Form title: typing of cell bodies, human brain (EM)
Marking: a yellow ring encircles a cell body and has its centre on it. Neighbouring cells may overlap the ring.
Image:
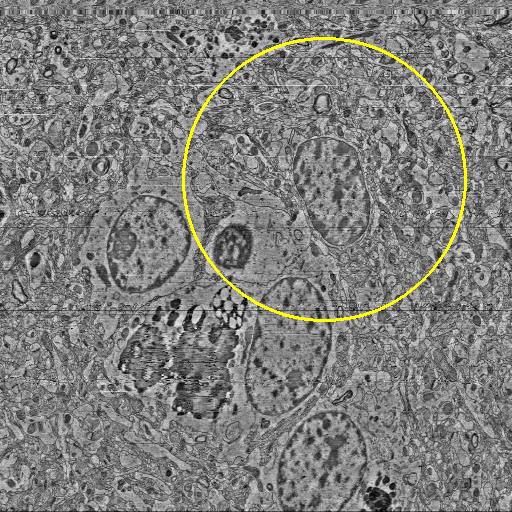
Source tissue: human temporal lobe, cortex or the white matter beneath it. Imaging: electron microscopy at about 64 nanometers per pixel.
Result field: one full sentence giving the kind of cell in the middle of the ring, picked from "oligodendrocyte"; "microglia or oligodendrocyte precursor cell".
In the picture, the ring is centred on a microglial cell or oligodendrocyte precursor cell, whose cell body it encircles.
